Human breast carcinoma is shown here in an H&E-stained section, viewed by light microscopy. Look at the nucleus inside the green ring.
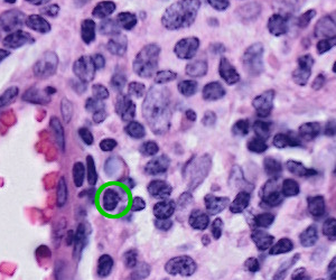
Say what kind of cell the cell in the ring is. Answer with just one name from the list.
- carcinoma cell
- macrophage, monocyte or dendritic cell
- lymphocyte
lymphocyte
